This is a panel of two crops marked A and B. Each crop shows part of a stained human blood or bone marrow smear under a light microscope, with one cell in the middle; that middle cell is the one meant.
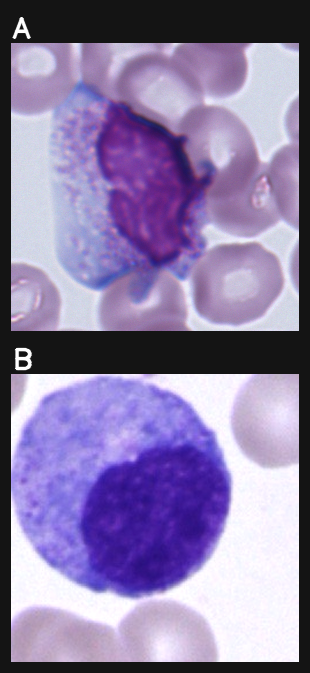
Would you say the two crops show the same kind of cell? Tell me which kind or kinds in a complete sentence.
Yes, both the first crop and the second crop show promyelocytes.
